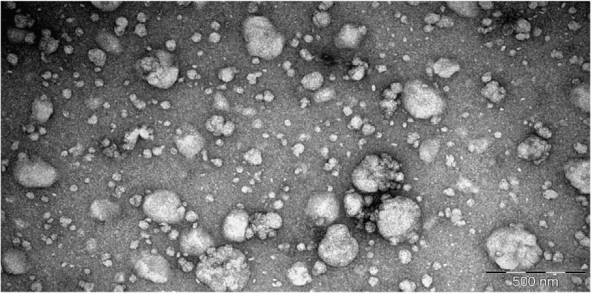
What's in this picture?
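A field of many isolated vesicles and particles on a grey background, with no whole cells present. Numerous small, pale, round particles are spread evenly across the field. Among them lie fewer larger round vesicles of varying size, some several hundred nanometres across, judged against the scale bar. The larger vesicles appear pale with faint internal texture and soft edges, and several are clumped together with darker material. The sizes differ widely across the field, from tiny dots to large spheres.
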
